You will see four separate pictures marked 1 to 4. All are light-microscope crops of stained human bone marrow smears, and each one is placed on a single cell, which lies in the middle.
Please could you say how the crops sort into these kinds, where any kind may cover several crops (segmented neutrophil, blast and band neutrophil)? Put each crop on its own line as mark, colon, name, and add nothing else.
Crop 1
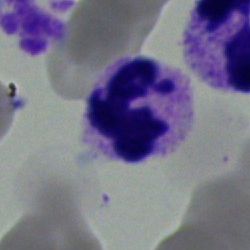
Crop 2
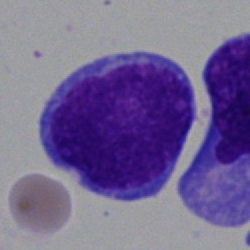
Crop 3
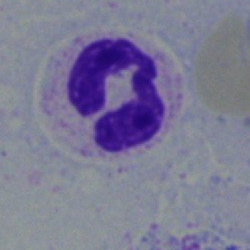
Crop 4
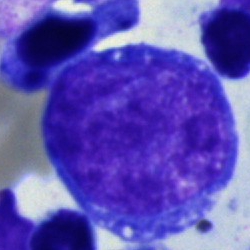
1: segmented neutrophil
2: blast
3: segmented neutrophil
4: blast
